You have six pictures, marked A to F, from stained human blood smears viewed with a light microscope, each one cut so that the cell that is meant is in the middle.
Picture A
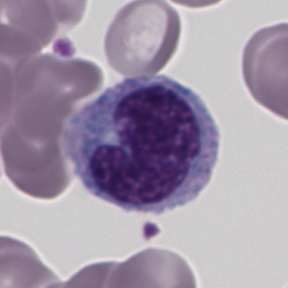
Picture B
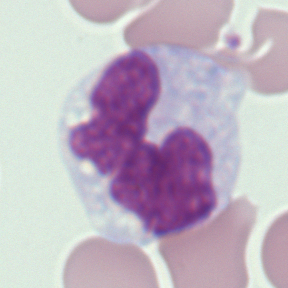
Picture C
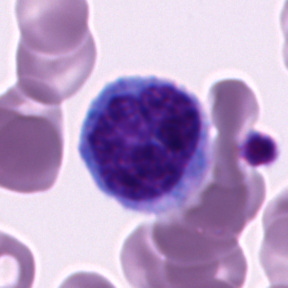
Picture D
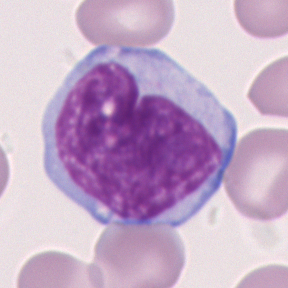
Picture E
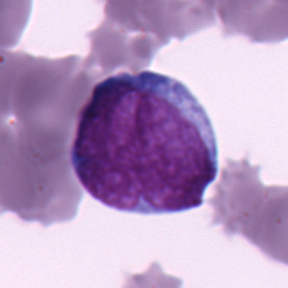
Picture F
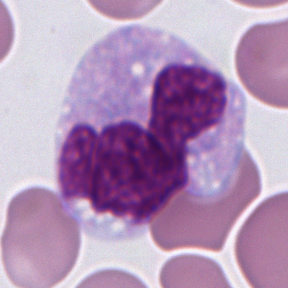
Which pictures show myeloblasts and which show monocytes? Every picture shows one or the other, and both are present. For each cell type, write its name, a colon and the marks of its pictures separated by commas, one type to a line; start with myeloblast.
myeloblast: D, E
monocyte: A, B, C, F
